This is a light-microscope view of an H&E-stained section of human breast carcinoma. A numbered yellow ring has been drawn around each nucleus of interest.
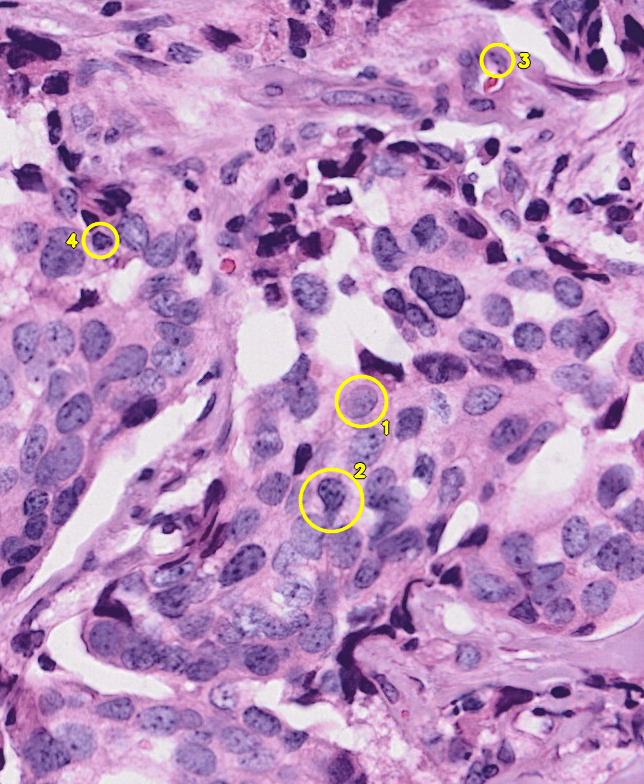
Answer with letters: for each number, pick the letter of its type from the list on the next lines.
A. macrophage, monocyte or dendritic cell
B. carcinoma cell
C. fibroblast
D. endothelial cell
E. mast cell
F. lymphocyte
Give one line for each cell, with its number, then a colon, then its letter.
1: B
2: B
3: D
4: B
